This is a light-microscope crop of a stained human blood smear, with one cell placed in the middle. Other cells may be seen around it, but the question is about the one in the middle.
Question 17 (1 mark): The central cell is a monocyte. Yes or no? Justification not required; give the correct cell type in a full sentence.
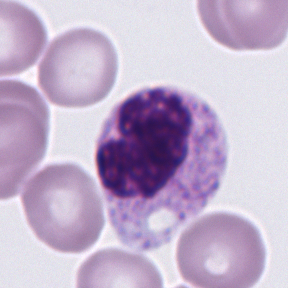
No, the middle cell is actually a segmented neutrophil rather than a monocyte.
